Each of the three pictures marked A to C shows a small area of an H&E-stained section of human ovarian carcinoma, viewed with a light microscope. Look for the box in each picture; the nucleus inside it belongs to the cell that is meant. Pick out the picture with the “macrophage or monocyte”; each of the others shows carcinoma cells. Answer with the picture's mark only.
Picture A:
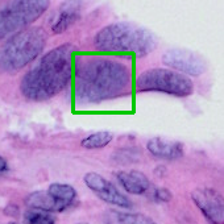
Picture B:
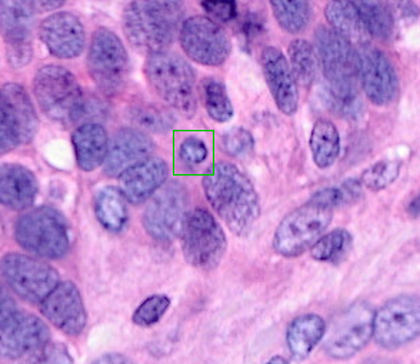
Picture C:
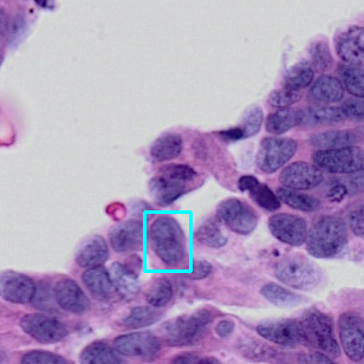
B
